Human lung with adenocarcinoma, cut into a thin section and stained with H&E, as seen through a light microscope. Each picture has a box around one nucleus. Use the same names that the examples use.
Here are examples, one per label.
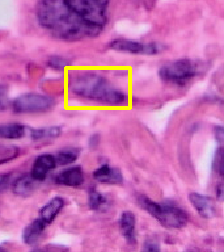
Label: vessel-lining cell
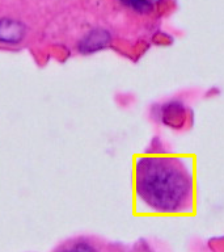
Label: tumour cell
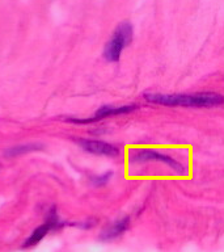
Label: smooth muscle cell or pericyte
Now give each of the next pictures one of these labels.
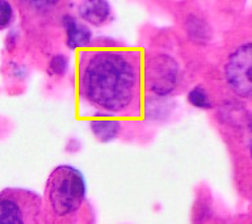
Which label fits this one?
tumour cell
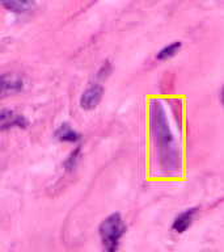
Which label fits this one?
vessel-lining cell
